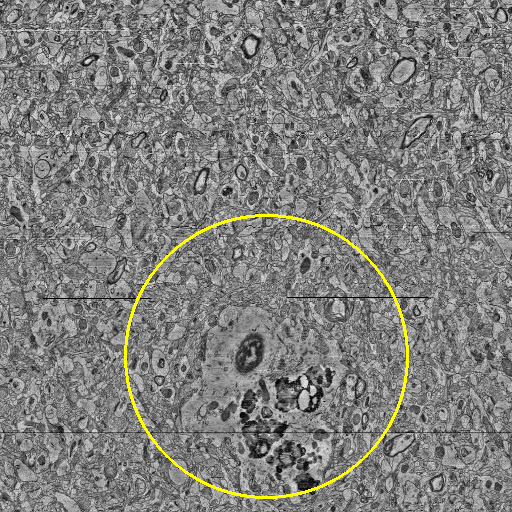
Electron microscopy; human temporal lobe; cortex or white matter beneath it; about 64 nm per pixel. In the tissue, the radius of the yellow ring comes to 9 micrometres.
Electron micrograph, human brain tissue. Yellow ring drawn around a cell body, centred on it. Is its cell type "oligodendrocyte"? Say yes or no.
no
